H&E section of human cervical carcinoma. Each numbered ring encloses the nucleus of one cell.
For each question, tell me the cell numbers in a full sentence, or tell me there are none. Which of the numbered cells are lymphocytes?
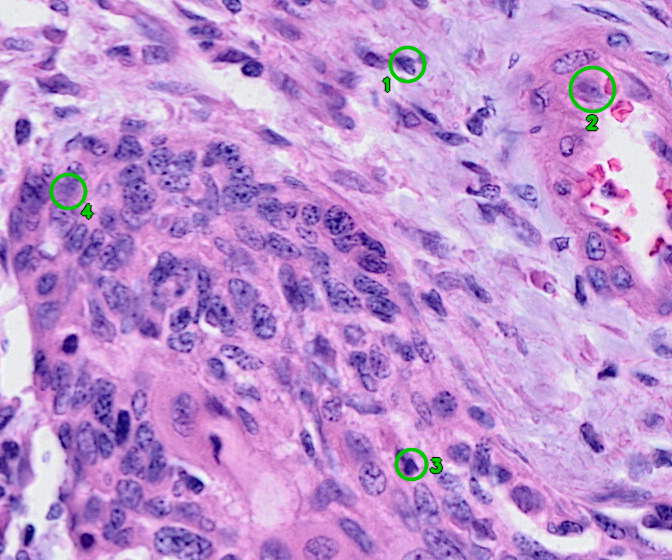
Cell 1 is a lymphocyte, whereas each of the other numbered cells is not.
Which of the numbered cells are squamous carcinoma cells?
The cells identified by the numbers 3 and 4 are squamous carcinoma cells.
